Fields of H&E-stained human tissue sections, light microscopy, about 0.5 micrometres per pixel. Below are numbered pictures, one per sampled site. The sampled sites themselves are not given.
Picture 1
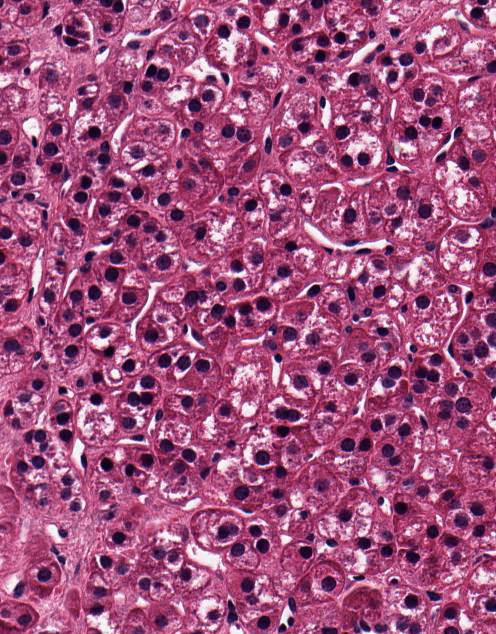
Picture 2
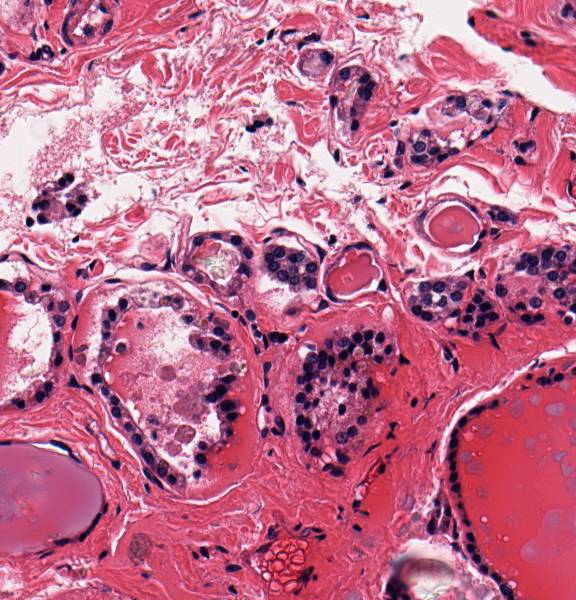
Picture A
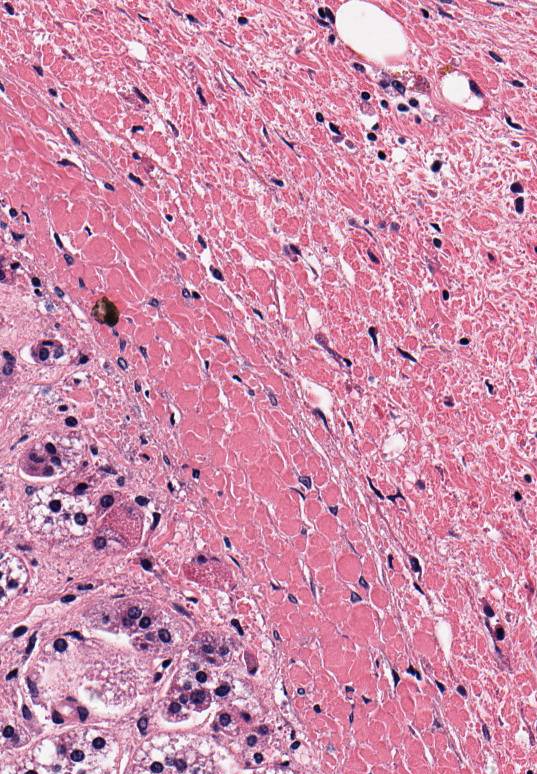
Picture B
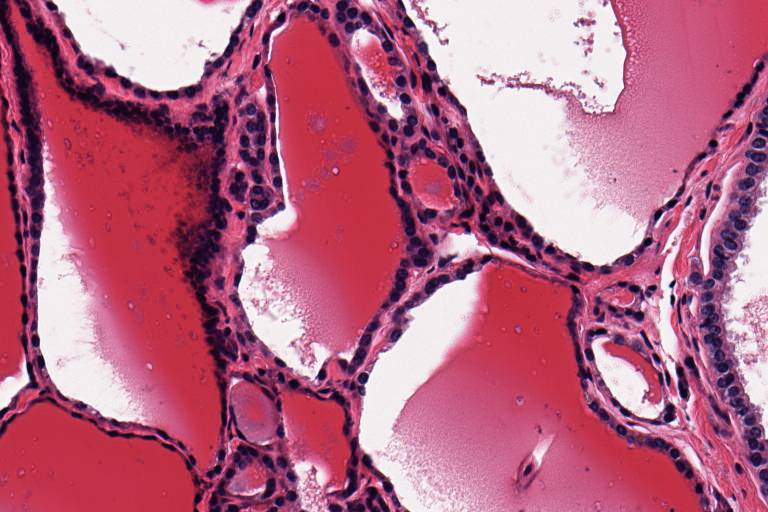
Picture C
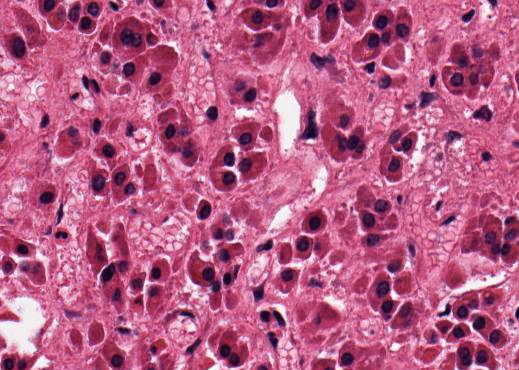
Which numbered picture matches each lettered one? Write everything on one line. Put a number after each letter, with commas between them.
A 1, B 2, C 1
